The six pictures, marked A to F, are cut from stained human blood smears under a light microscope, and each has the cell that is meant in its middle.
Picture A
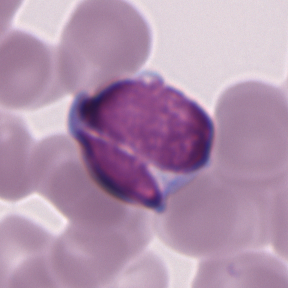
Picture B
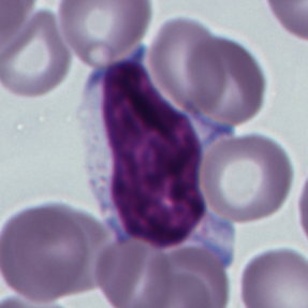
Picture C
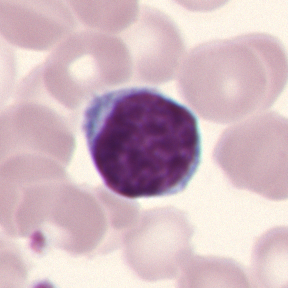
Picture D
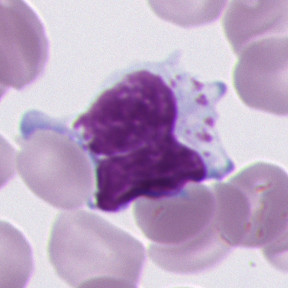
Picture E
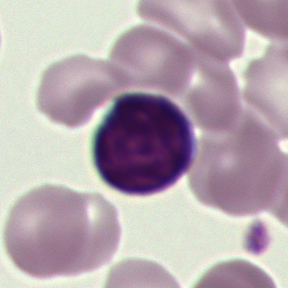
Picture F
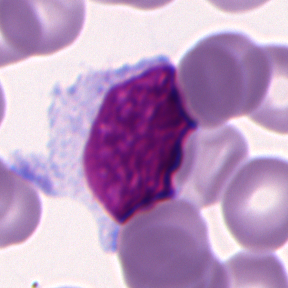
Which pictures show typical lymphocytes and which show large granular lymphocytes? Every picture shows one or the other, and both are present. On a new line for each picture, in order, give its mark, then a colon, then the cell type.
A: large granular lymphocyte
B: typical lymphocyte
C: typical lymphocyte
D: large granular lymphocyte
E: typical lymphocyte
F: typical lymphocyte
